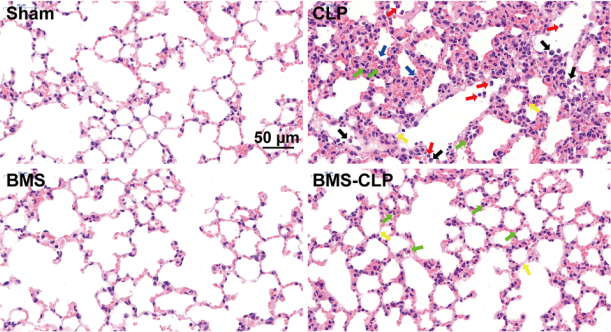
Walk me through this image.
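These are sections of lung parenchyma stained pink and purple, showing alveoli lined by thin septa. In two of the fields the alveolar walls are thin and delicate, one or two cells thick, and the air spaces are wide and open with few free cells in them. In that field the air spaces are narrowed or filled, and contain scattered rounded free cells and some pink material along their edges.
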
